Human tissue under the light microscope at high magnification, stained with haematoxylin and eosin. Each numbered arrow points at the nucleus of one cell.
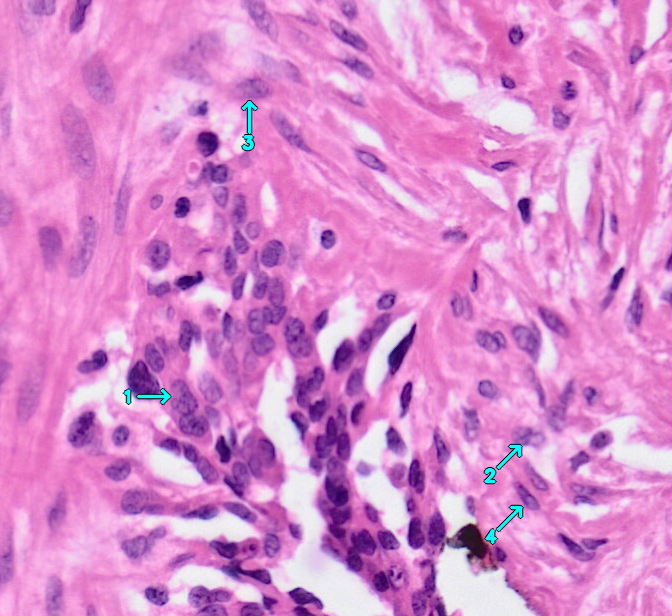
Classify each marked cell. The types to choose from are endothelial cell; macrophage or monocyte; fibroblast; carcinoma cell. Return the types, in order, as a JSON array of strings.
["carcinoma cell", "fibroblast", "fibroblast", "fibroblast"]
